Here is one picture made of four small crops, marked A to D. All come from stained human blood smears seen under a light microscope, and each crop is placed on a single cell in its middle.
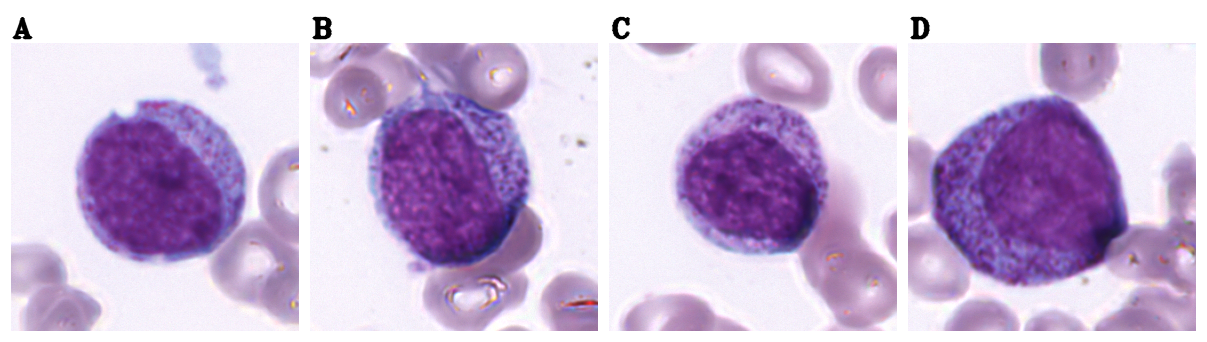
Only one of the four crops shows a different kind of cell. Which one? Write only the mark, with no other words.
C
